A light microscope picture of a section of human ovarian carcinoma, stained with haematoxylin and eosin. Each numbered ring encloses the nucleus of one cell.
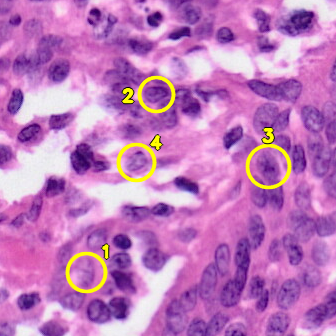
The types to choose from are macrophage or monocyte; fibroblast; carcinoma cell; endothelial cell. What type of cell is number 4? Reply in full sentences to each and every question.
The marked cell bearing number 4 is a macrophage or monocyte.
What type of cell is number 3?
The one labeled 3 is a carcinoma cell, to put it simply.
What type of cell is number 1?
The cell with the number 1 is a carcinoma cell.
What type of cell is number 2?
At number 2, the marked cell is a carcinoma cell.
